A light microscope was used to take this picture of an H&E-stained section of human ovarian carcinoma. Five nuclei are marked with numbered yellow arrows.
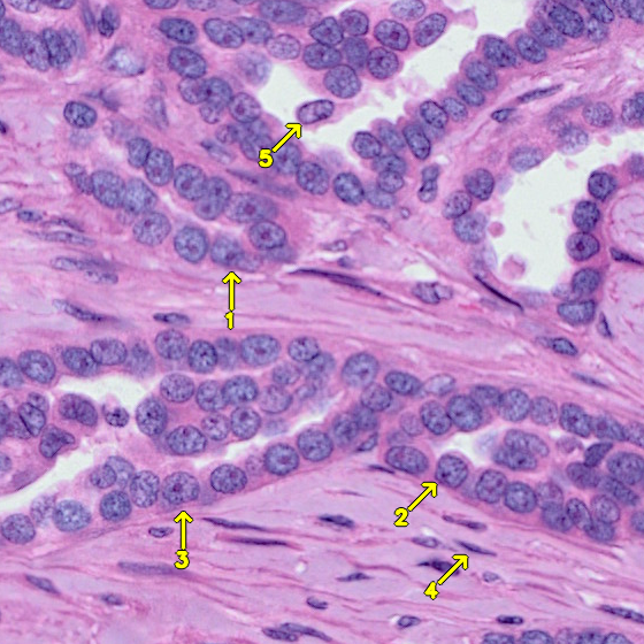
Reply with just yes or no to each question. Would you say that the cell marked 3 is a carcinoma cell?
yes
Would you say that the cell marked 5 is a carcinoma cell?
no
